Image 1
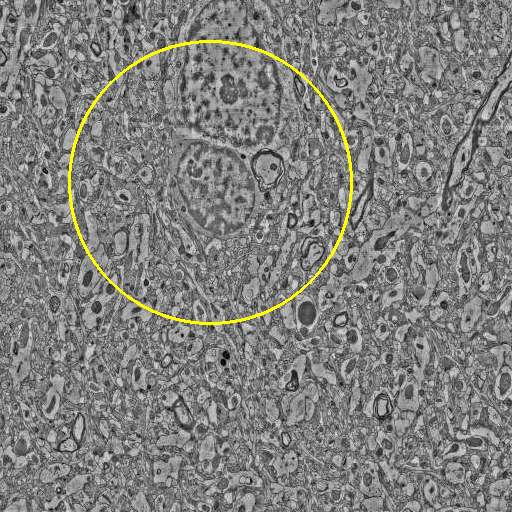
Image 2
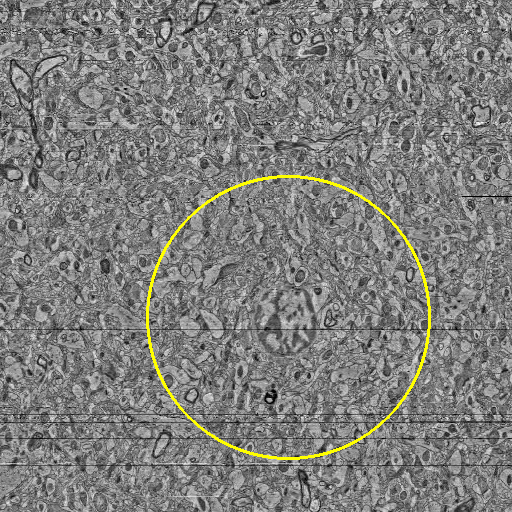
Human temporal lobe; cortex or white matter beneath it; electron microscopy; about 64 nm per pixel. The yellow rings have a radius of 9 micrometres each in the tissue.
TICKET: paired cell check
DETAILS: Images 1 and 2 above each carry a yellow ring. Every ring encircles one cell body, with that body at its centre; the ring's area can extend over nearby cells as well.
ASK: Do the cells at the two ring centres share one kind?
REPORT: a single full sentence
Yes, the ring-centre cells of Images 1 and 2 belong to a single kind.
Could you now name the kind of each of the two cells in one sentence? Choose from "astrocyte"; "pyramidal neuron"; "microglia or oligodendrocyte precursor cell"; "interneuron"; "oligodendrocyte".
In each picture the ringed cell is an oligodendrocyte.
